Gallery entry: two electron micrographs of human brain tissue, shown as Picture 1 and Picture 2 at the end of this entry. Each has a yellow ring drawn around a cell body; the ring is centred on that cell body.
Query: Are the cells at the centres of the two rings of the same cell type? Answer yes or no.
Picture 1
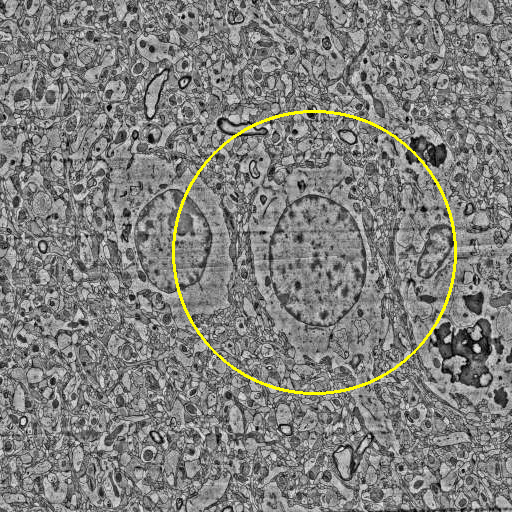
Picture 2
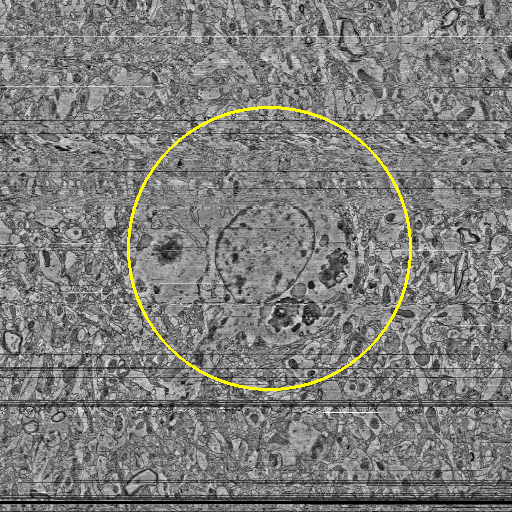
yes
